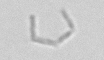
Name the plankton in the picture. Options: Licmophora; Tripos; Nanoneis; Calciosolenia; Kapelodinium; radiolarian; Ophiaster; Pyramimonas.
Nanoneis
